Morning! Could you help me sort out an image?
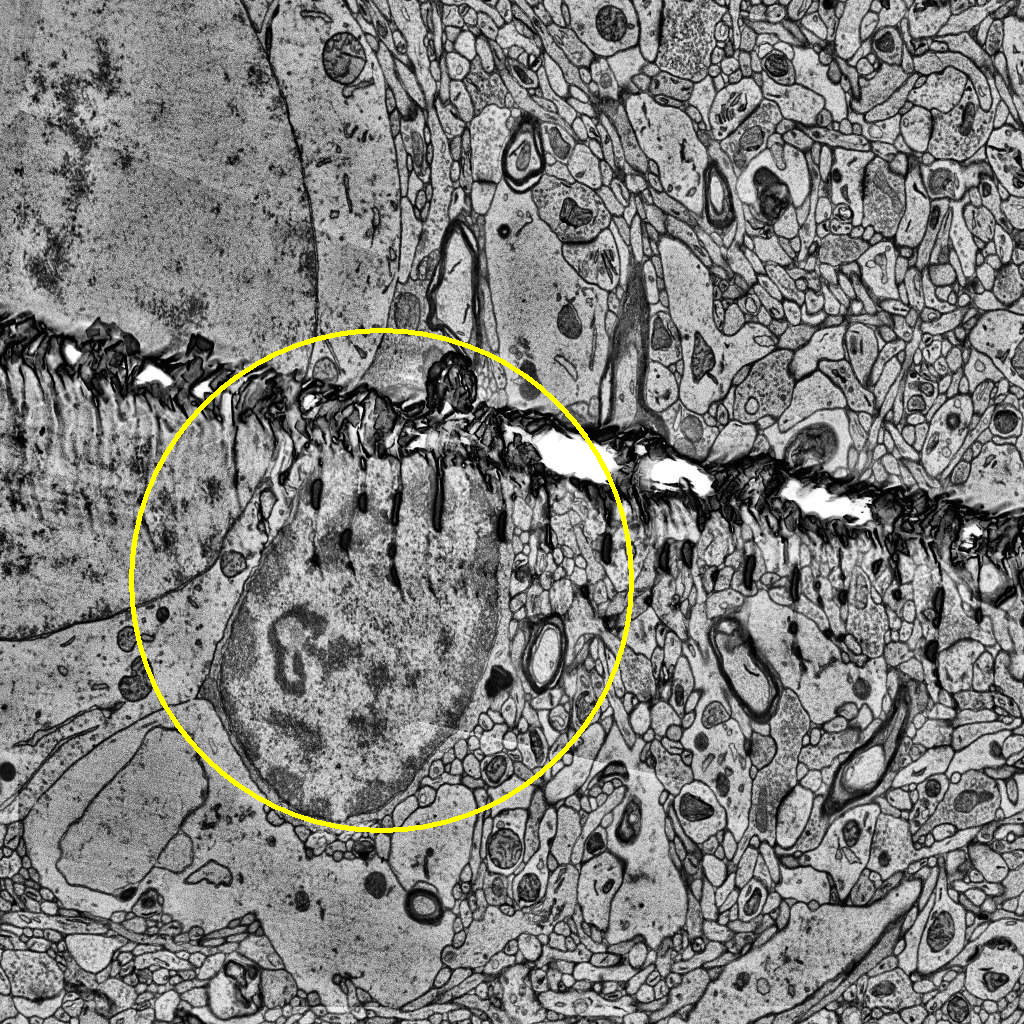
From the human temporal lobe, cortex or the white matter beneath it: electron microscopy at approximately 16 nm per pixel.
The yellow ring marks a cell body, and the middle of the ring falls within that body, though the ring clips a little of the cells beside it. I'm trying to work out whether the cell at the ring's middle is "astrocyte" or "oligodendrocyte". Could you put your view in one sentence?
The cell body at the ring's middle is that of an oligodendrocyte.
